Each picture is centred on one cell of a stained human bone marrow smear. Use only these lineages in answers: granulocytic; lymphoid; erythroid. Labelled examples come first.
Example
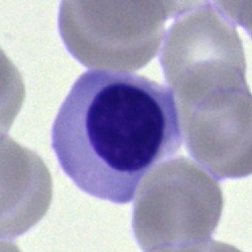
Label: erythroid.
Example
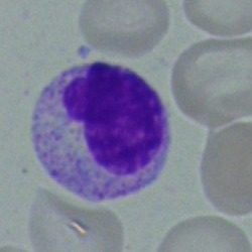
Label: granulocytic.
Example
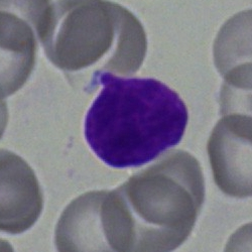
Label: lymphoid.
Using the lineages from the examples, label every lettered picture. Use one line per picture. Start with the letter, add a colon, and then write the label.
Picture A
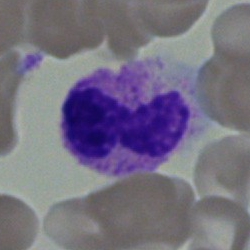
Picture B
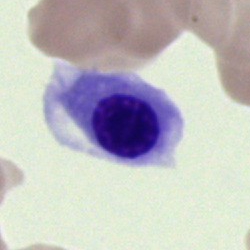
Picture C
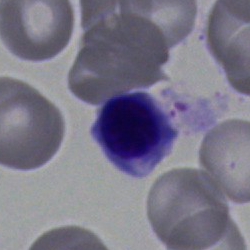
A: granulocytic.
B: erythroid.
C: erythroid.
